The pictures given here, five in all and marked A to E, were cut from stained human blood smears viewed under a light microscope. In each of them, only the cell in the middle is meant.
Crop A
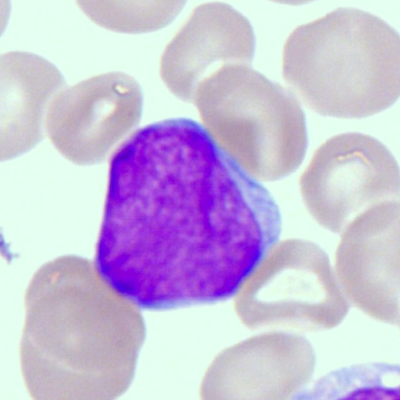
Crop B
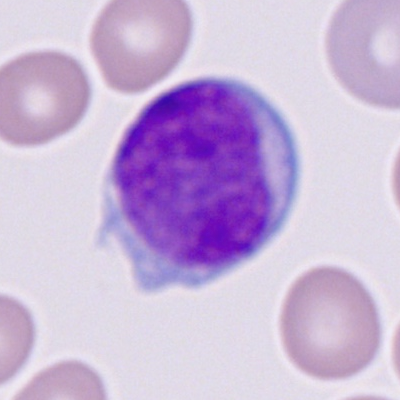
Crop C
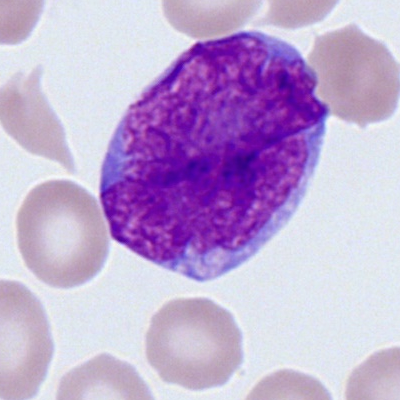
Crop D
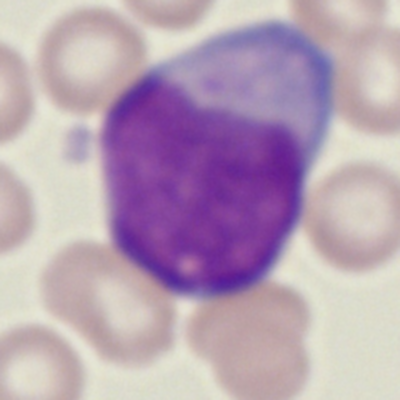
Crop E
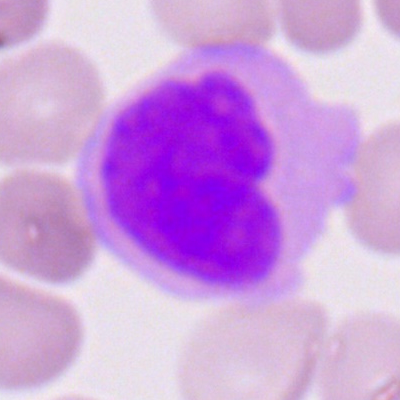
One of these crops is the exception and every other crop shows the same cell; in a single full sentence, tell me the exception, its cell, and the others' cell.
The one crop not showing myeloblasts is crop E, which shows a monocyte.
